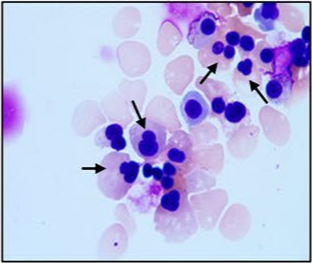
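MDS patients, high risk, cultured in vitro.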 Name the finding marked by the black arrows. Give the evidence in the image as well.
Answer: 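The marked cells hold several small dark nuclear lobes or fragments. Cells with irregular nuclei crowd together. So: malformed nucleus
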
